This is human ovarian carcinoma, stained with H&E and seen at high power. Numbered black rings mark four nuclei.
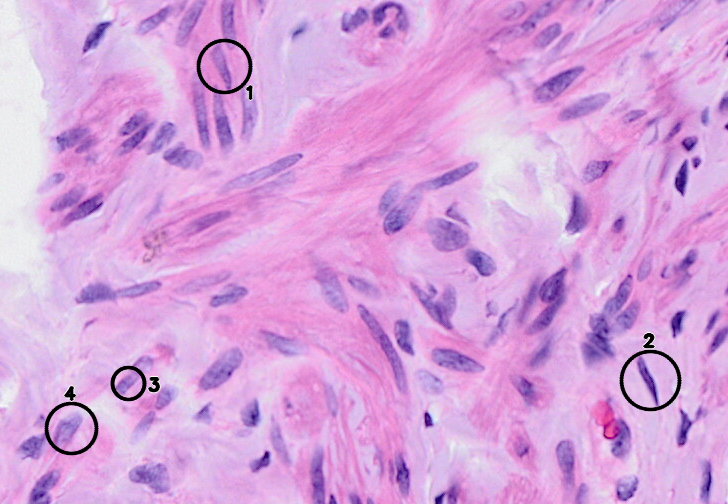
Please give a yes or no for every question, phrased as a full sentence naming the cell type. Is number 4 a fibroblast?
No, as for cell 4, it is a smooth muscle cell and not a fibroblast.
